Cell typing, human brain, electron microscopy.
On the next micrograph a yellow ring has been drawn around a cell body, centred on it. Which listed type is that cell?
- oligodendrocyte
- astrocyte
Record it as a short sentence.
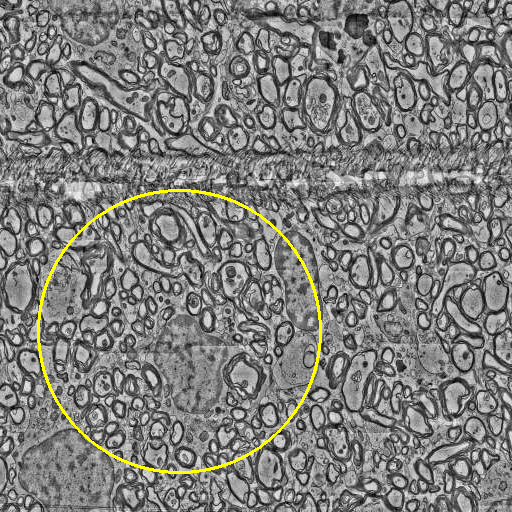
The cell body in the ring's centre belongs to an oligodendrocyte.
